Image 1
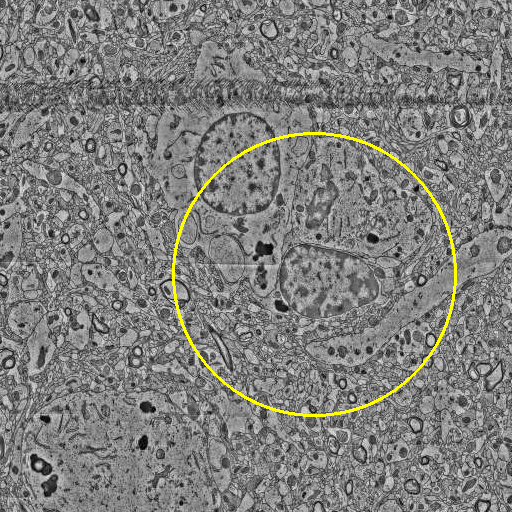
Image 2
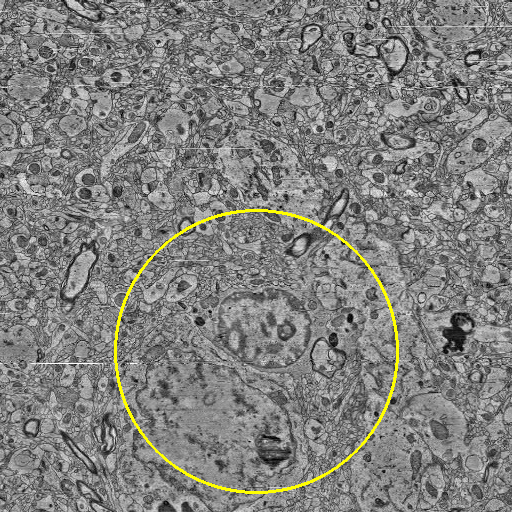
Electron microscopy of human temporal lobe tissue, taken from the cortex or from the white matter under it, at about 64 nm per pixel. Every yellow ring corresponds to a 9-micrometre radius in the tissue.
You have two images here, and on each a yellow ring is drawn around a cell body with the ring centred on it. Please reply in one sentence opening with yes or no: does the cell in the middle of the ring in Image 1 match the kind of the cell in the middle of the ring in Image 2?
No, the two images show cells of two kinds at the centres of their rings.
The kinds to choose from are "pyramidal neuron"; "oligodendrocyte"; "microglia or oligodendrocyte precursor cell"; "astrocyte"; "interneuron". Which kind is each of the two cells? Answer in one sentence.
Of the two, the first cell is a microglial cell or oligodendrocyte precursor cell and the second cell is an oligodendrocyte.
